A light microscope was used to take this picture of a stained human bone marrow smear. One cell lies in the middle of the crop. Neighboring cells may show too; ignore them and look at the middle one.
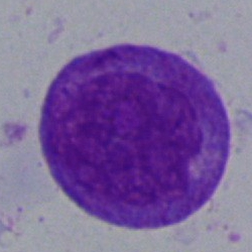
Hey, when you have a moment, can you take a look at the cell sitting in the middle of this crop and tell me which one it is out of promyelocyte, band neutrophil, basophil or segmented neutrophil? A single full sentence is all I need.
Seen at the centre of the crop is a promyelocyte.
